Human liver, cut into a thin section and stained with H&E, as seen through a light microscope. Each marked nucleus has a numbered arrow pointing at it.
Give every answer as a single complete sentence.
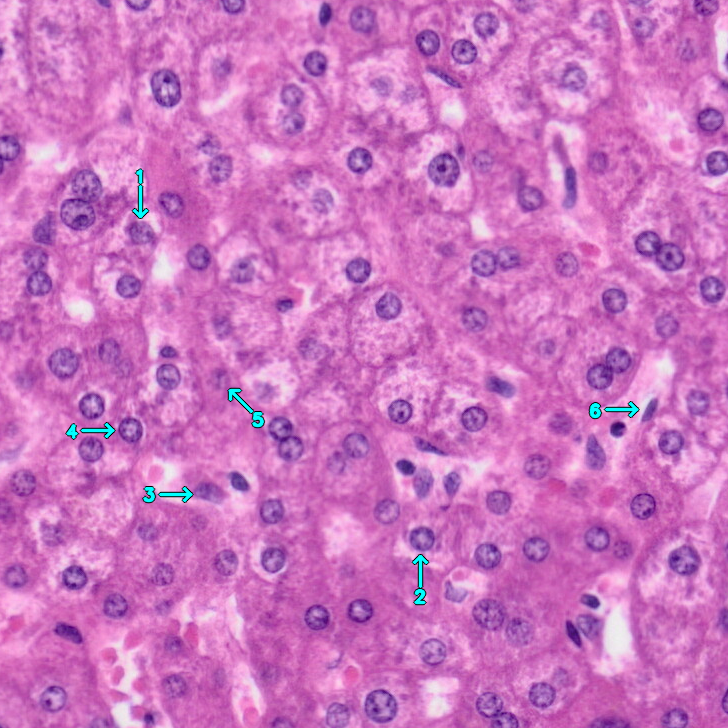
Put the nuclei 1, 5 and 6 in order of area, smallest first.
The order from the smallest nucleus to the largest is 6, 5, 1.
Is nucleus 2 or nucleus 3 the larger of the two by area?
The larger nucleus is 2, at roughly 1.5 times the area of 3.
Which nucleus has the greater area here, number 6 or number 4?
Nucleus 4 covers more area, about 2 times as much as nucleus 6.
